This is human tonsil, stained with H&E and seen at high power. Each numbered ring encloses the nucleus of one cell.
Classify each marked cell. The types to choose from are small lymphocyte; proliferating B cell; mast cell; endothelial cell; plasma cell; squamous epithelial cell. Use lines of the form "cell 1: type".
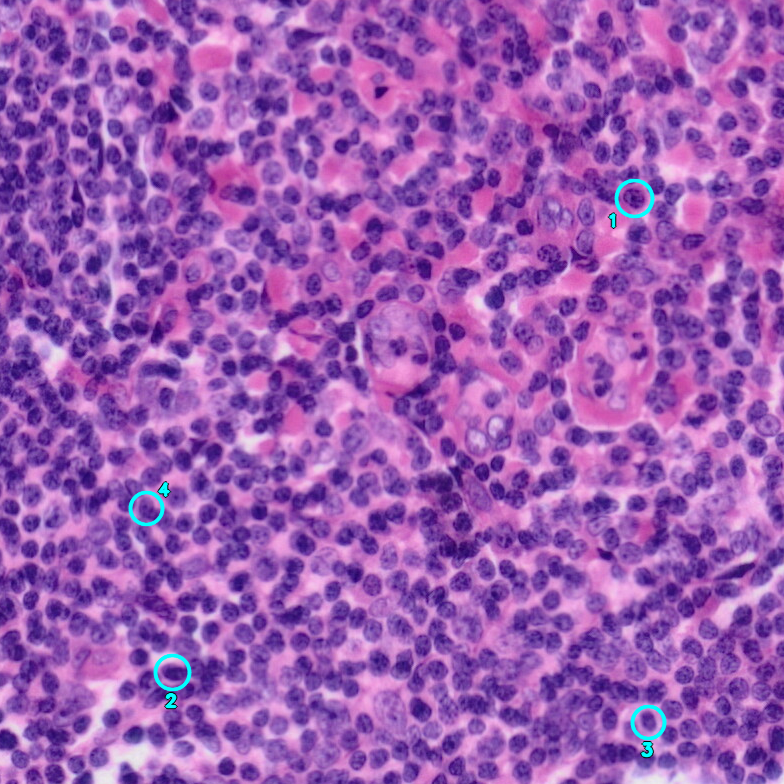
cell 1: plasma cell
cell 2: small lymphocyte
cell 3: small lymphocyte
cell 4: small lymphocyte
